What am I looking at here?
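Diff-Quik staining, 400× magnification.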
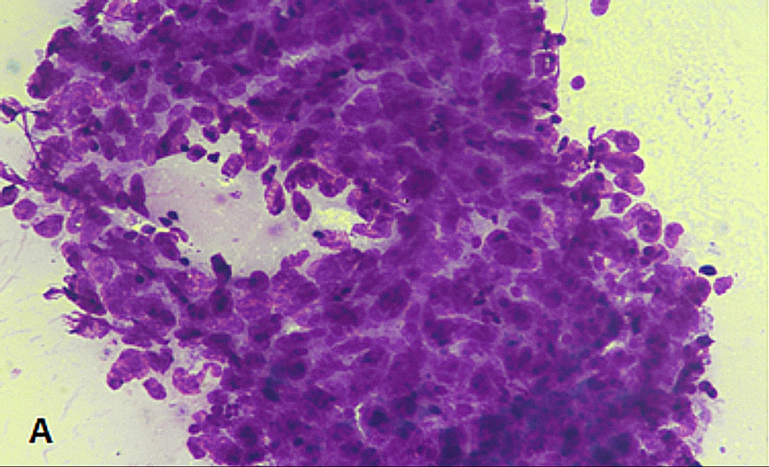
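Crowded cluster of large atypical cells with dark purple hyperchromatic nuclei that overlap one another. The nuclei are large relative to the scant cytoplasm, and cells at the edge of the cluster separate off singly.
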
